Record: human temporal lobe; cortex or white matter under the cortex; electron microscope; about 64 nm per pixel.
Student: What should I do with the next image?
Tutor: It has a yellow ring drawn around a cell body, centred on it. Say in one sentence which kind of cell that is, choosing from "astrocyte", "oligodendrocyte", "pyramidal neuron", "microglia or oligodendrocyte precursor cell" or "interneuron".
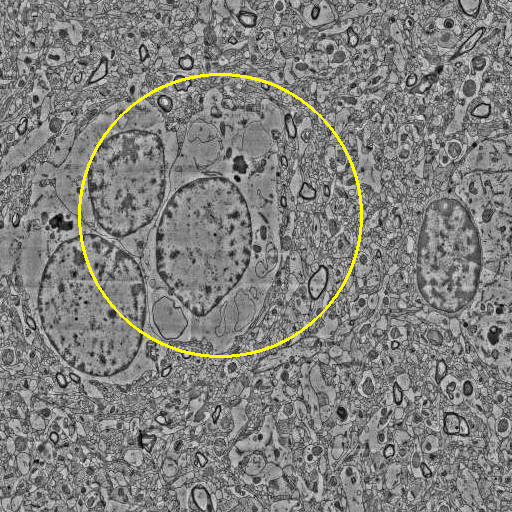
The ring's centre is occupied by an astrocyte.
